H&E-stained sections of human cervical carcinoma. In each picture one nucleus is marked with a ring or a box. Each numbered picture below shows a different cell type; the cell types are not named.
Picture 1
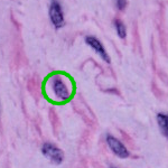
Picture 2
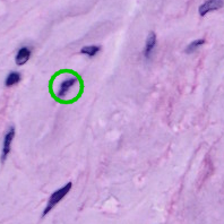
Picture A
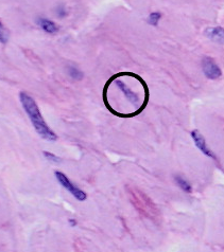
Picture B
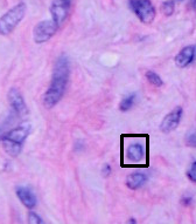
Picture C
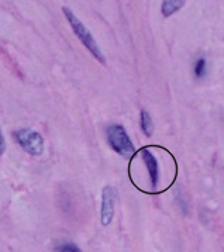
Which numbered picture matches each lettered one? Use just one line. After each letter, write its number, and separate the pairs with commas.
A 2, B 1, C 2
